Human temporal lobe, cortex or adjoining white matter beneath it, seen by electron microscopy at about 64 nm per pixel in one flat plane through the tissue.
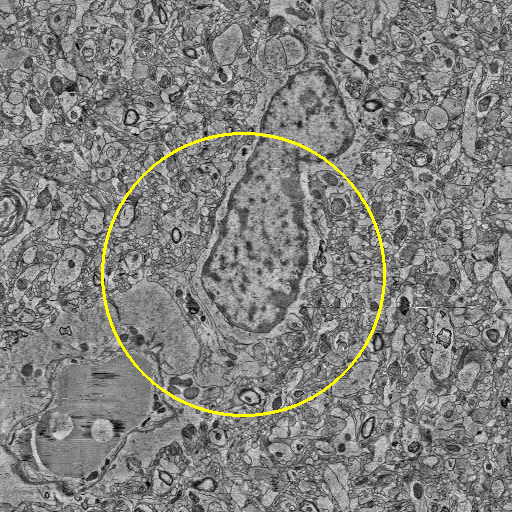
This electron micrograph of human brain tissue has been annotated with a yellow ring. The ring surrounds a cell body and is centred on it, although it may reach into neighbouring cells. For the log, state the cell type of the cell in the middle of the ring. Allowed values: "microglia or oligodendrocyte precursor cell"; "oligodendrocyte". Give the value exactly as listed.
microglia or oligodendrocyte precursor cell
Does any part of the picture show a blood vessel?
Yes, a vessel appears in the picture.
